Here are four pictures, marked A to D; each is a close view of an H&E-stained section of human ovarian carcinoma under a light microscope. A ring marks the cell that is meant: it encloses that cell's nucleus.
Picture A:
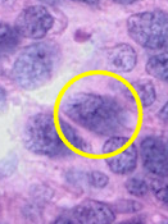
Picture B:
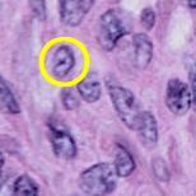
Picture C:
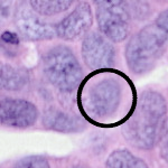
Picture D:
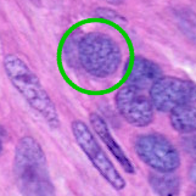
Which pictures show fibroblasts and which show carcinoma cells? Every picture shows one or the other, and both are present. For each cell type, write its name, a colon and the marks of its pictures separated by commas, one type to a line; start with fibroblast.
fibroblast: B
carcinoma cell: A, C, D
